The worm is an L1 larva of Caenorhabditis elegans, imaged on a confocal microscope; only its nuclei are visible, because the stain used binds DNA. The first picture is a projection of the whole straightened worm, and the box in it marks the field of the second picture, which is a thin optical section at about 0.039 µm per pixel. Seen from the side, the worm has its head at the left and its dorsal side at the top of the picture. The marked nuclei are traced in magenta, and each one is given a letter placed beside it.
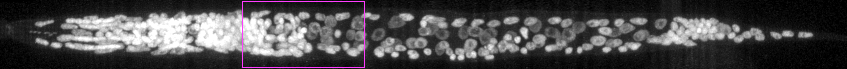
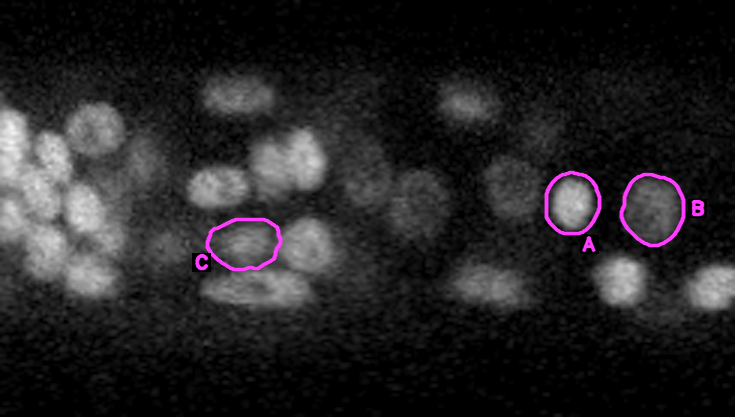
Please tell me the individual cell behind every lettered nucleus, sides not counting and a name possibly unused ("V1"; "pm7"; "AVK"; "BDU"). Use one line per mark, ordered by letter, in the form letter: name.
A: BDU
B: V1
C: pm7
